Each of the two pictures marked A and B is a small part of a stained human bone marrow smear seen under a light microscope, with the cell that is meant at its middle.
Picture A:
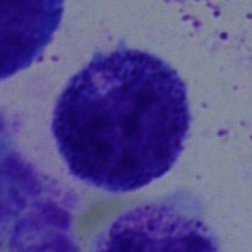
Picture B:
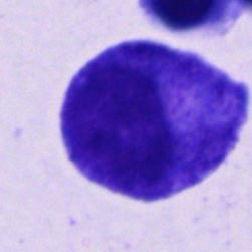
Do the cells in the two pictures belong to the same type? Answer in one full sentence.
Yes, they are the same type: both are promyelocytes.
